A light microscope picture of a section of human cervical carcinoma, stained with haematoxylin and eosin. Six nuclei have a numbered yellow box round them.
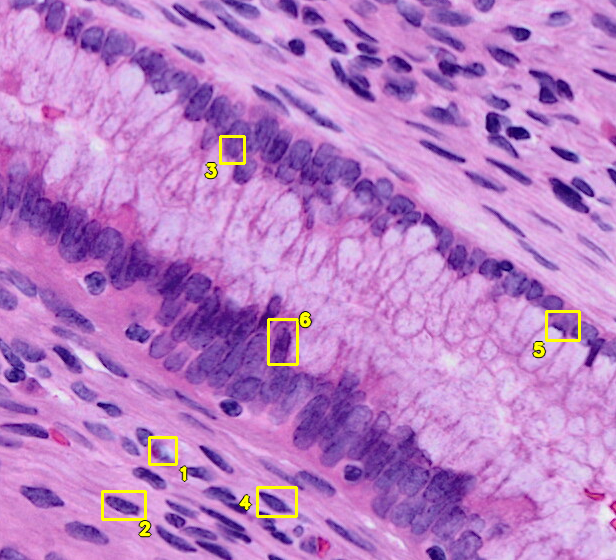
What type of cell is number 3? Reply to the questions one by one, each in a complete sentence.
The cell with the number 3 is a secretory epithelial cell.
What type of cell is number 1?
The cell that carries the label 1 is an endothelial cell.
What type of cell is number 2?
The cell identified by number 2 is a fibroblast.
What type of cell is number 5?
In this section, the cell tagged 5 is a secretory epithelial cell.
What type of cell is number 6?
In this section, the cell numbered 6 is a secretory epithelial cell.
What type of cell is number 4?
The cell identified by number 4 is a fibroblast.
